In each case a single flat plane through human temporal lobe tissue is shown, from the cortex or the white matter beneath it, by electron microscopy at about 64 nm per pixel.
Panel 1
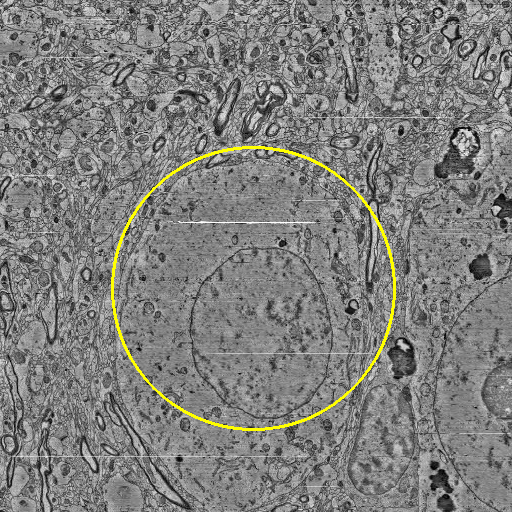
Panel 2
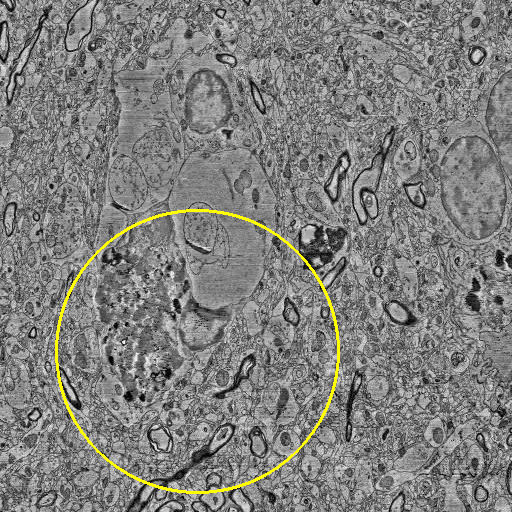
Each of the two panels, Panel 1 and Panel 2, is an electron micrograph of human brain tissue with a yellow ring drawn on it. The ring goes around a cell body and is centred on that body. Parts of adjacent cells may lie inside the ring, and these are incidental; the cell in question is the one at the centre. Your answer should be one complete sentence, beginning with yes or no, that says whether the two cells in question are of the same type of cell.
No, the two cells are of two types.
